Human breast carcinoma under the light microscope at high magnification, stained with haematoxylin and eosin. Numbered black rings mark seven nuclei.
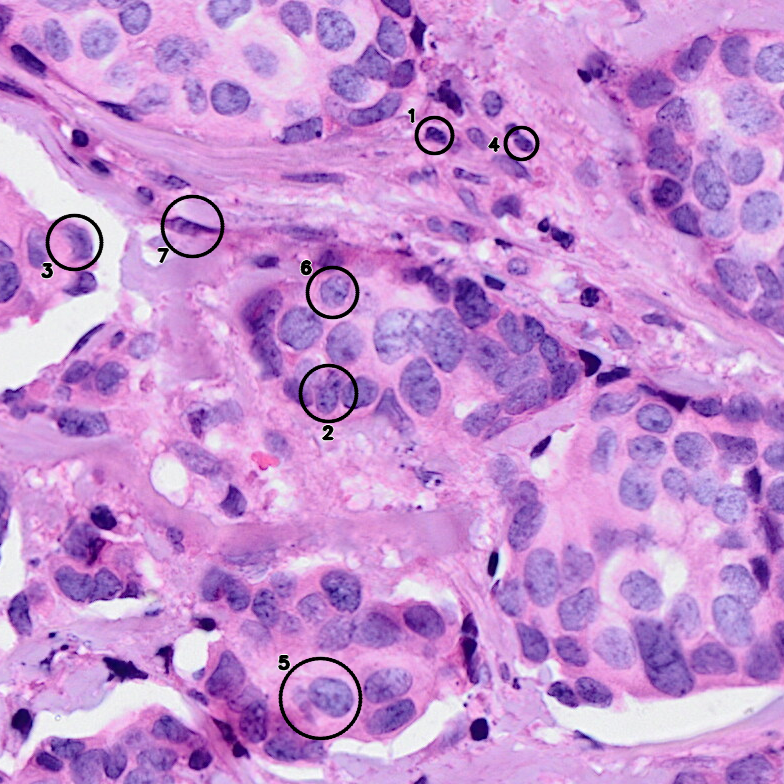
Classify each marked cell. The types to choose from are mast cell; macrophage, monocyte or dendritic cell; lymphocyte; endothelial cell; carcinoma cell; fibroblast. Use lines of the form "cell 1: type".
cell 1: lymphocyte
cell 2: carcinoma cell
cell 3: carcinoma cell
cell 4: lymphocyte
cell 5: carcinoma cell
cell 6: carcinoma cell
cell 7: fibroblast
